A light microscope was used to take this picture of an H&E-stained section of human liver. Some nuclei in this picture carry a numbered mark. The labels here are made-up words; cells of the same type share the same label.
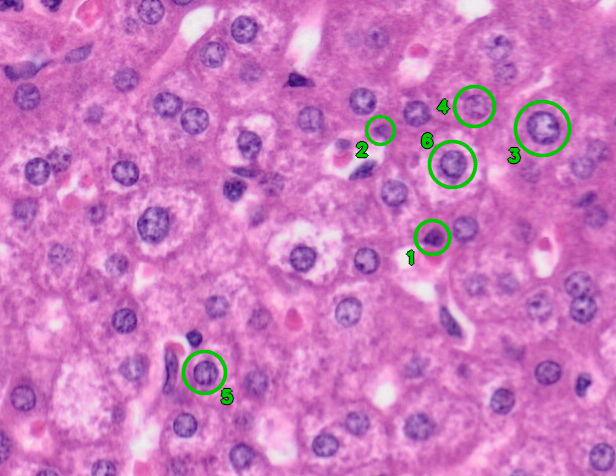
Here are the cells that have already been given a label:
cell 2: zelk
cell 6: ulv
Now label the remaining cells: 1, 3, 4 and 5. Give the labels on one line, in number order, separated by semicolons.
zelk; ulv; ulv; ulv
